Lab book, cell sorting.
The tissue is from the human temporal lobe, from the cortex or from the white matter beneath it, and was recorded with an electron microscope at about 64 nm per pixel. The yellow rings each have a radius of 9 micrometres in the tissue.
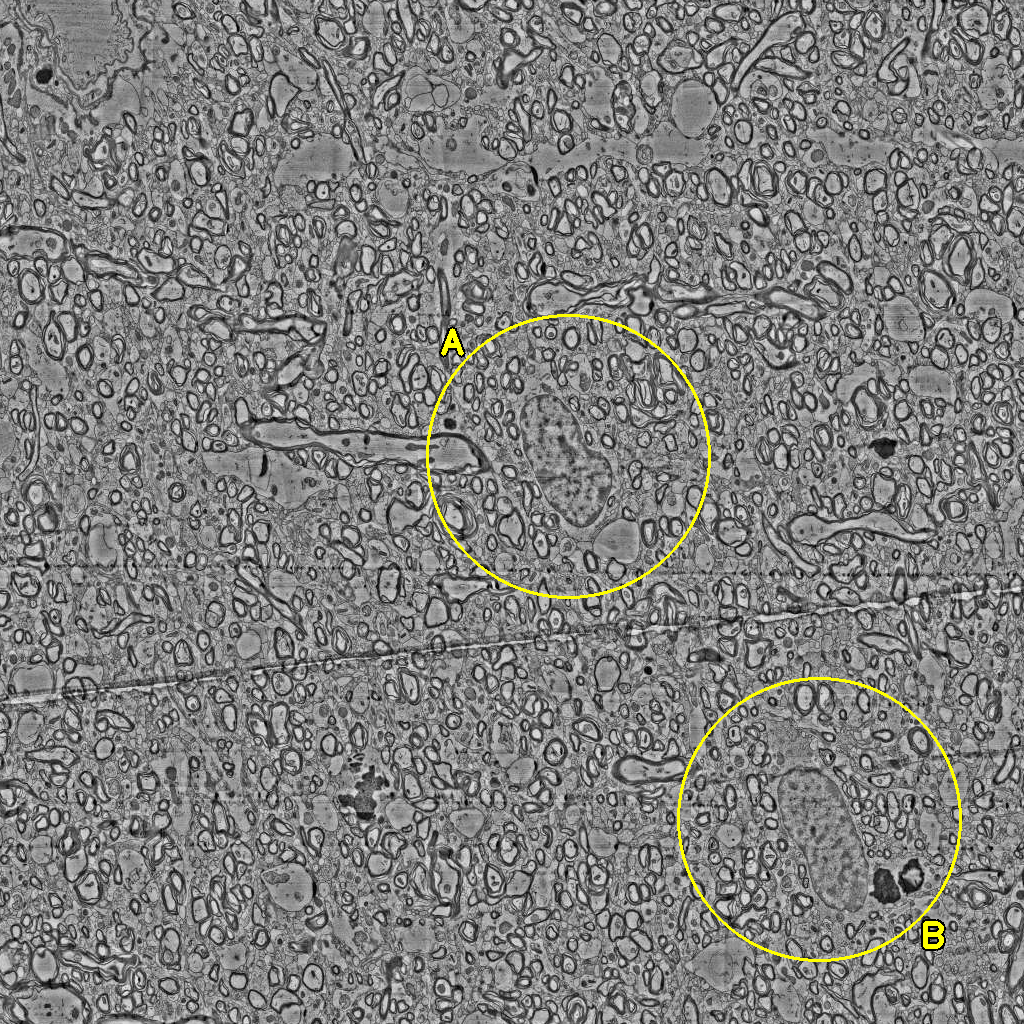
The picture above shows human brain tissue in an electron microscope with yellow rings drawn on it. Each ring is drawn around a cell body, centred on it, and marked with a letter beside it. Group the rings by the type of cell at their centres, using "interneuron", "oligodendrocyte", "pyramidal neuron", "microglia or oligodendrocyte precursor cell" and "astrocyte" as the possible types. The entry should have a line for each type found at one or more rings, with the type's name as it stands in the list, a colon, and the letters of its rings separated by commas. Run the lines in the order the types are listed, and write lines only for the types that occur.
oligodendrocyte: B
microglia or oligodendrocyte precursor cell: A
